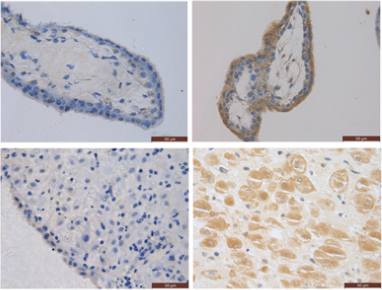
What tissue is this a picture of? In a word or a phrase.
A: Chorionic villi and decidua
